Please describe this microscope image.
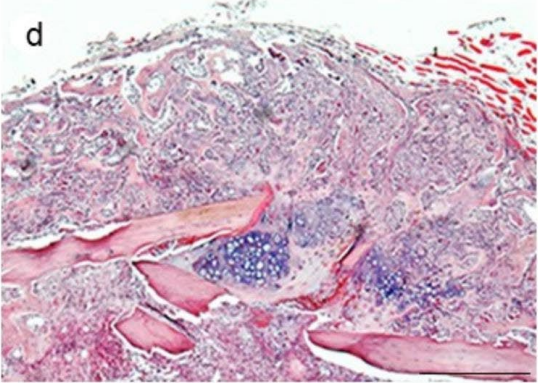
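This fracture callus is mostly a meshwork of pale pink woven bone with cell-filled spaces between the trabeculae, lying over fragments of pink cortical bone. Near the bottom, small islands of purple cartilage remain, in which rounded chondrocytes sit in clear lacunae.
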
